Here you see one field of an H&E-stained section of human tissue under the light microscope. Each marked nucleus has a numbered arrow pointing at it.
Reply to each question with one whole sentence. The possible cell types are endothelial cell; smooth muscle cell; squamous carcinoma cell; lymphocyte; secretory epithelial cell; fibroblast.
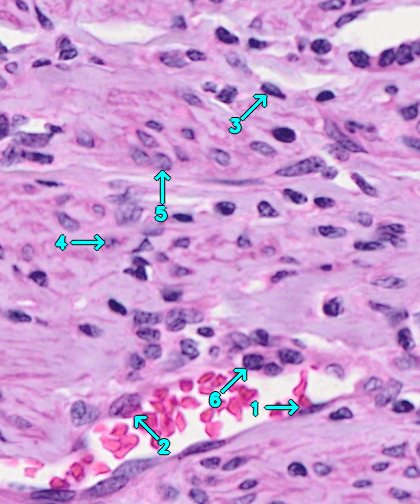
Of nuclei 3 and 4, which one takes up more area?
Nucleus 3 is the larger one, covering about 2.5 times the area of nucleus 4.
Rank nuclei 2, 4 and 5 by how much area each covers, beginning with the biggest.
The nuclei rank 2, 5, 4, from largest to smallest.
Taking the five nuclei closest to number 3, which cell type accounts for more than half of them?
The majority of the five nuclei closest to number 3 belong to lymphocytes.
